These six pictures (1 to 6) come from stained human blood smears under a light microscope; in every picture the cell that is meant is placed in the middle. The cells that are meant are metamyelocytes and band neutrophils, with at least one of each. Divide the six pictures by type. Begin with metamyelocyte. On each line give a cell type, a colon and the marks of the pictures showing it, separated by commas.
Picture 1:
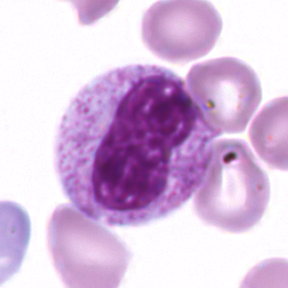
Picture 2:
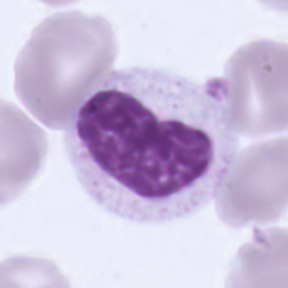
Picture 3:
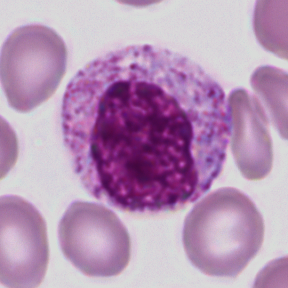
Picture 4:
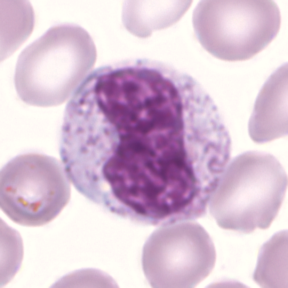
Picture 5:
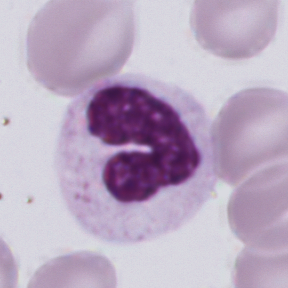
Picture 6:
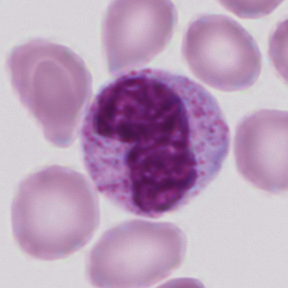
metamyelocyte: 1, 3, 4
band neutrophil: 2, 5, 6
